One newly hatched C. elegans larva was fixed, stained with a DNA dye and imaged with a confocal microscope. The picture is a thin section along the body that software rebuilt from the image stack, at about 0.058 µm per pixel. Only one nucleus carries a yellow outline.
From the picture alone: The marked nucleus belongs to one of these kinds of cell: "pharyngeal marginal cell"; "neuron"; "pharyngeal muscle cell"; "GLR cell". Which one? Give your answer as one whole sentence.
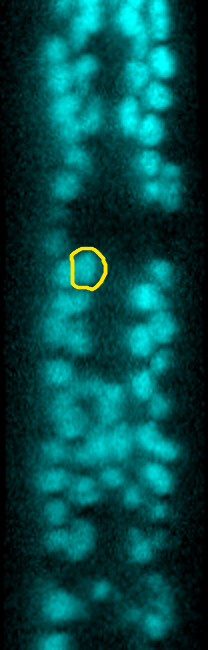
This nucleus is from a GLR cell.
